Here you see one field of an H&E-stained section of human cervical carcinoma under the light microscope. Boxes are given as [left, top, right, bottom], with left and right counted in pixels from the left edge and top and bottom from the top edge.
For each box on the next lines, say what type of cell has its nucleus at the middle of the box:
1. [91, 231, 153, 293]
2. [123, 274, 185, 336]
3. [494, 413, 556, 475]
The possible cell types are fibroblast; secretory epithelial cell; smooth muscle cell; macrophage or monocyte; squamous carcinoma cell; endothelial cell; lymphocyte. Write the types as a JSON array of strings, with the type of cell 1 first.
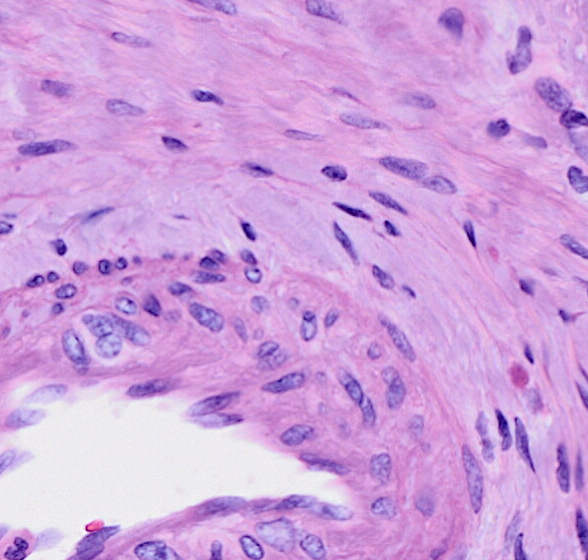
["smooth muscle cell", "smooth muscle cell", "fibroblast"]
